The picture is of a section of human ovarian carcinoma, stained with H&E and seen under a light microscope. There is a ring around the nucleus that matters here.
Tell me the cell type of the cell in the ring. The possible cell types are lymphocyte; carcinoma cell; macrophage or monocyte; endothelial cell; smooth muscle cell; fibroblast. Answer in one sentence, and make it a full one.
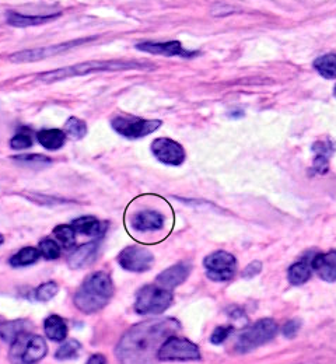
Considered by cell type, the cell in the ring is a lymphocyte.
